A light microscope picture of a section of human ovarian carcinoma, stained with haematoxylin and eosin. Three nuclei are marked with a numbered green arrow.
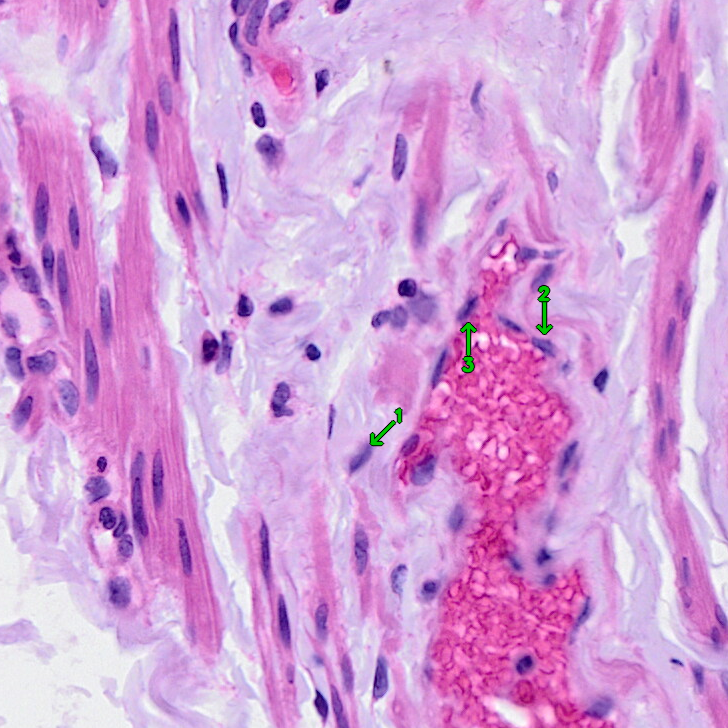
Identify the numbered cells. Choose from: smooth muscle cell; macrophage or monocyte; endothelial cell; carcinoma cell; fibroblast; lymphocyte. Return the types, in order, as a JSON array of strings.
["fibroblast", "endothelial cell", "endothelial cell"]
